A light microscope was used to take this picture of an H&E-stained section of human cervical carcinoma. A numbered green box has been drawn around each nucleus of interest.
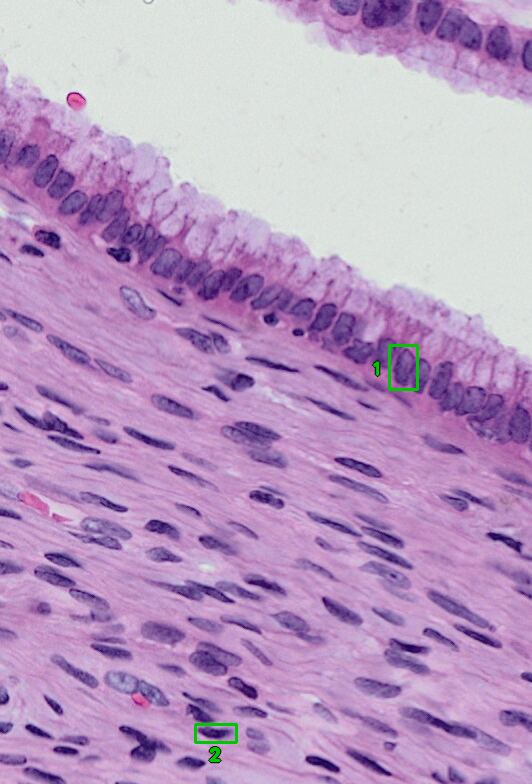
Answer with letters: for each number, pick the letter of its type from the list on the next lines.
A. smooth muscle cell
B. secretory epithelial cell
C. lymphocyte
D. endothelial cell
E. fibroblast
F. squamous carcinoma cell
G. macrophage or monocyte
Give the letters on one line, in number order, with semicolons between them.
B; E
